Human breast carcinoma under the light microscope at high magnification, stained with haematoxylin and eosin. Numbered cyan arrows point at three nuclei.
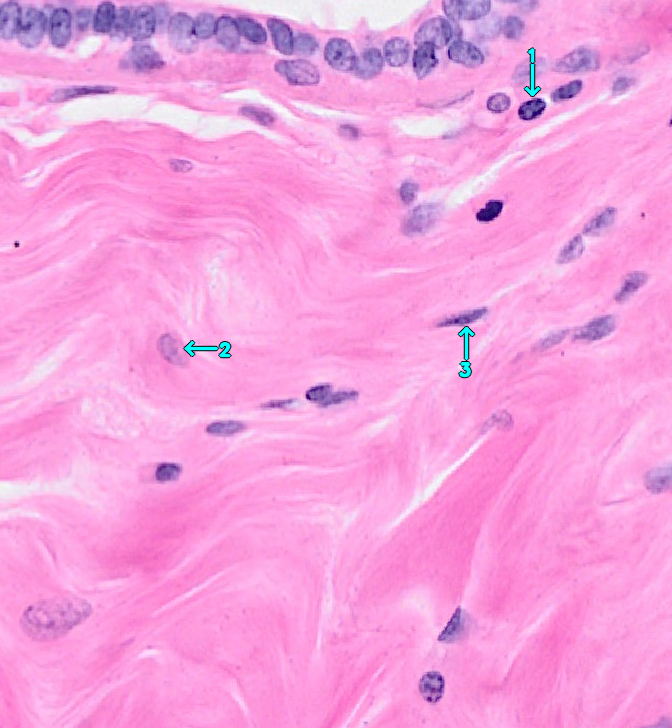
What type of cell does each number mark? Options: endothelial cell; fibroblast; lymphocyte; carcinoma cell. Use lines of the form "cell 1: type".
cell 1: lymphocyte
cell 2: fibroblast
cell 3: fibroblast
